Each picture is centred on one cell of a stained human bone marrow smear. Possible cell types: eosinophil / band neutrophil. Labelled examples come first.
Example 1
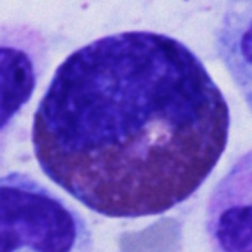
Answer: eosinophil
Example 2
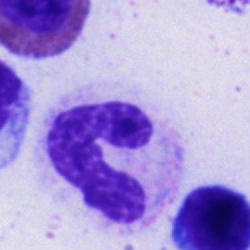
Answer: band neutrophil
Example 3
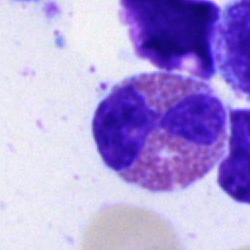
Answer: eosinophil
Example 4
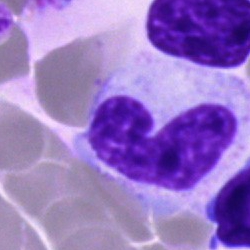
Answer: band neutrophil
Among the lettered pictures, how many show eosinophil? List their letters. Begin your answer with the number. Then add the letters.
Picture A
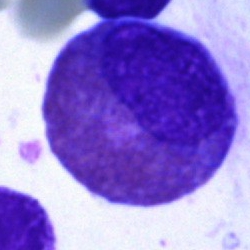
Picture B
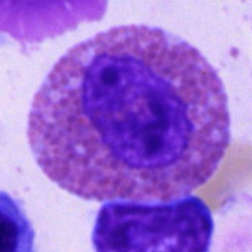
2, namely A, B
